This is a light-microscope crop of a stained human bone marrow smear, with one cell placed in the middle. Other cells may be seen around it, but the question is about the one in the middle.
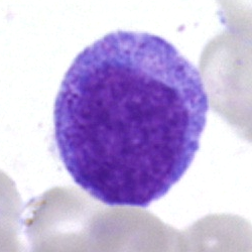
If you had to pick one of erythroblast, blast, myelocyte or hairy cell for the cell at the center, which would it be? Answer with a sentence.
The middle of this crop is occupied by a blast.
